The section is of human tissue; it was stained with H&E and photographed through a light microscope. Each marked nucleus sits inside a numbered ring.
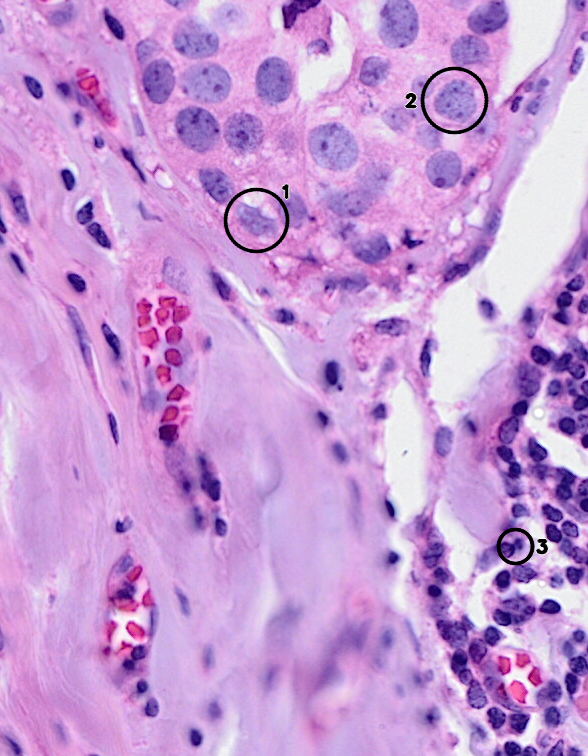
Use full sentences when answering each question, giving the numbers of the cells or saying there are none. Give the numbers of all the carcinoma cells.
The cells which carry the numbers 1 and 2 are carcinoma cells.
